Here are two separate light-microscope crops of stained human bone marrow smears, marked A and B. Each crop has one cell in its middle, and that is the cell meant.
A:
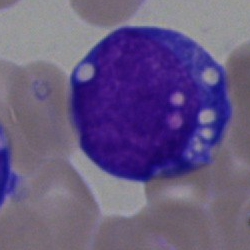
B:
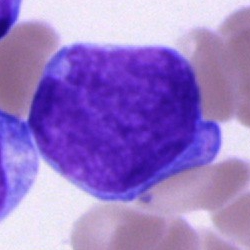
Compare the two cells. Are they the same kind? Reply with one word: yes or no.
yes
